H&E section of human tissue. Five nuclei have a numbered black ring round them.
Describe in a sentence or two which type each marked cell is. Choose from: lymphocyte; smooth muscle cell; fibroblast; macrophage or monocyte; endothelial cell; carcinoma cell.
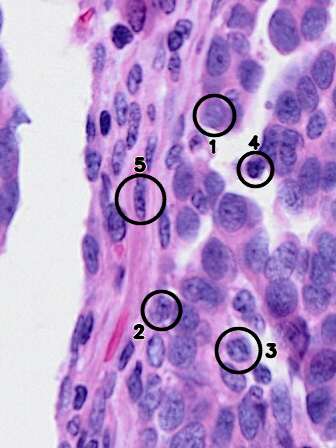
Cell 1 is a carcinoma cell. Cells 2 and 3 are macrophages or monocytes. Cell 4 is a lymphocyte. Cell 5 is an endothelial cell.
